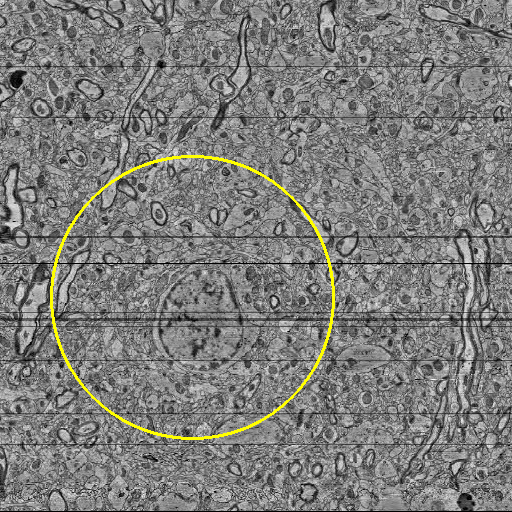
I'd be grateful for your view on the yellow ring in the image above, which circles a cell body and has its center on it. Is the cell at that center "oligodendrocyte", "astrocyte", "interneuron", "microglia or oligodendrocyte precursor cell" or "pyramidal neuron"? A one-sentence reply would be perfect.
The cell at the center of the yellow ring is a microglial cell or oligodendrocyte precursor cell.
